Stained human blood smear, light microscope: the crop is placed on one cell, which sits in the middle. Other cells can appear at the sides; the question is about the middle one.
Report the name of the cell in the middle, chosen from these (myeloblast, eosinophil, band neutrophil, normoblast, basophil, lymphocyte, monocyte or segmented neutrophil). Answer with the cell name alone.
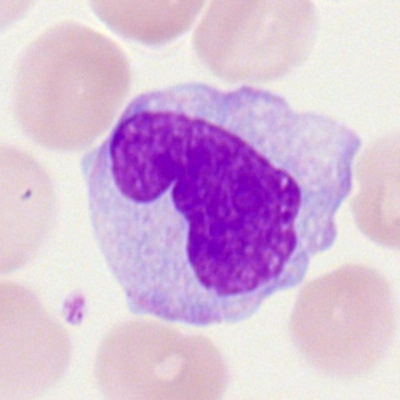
monocyte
